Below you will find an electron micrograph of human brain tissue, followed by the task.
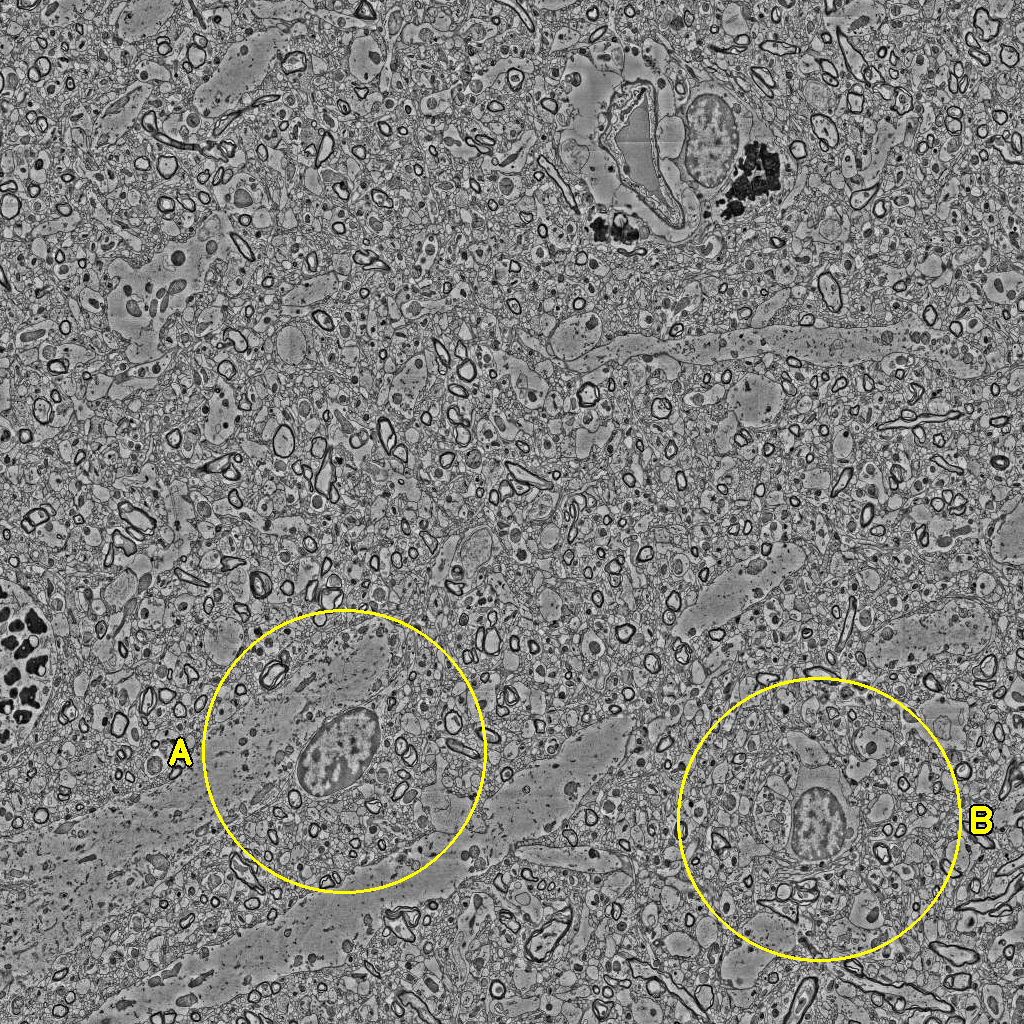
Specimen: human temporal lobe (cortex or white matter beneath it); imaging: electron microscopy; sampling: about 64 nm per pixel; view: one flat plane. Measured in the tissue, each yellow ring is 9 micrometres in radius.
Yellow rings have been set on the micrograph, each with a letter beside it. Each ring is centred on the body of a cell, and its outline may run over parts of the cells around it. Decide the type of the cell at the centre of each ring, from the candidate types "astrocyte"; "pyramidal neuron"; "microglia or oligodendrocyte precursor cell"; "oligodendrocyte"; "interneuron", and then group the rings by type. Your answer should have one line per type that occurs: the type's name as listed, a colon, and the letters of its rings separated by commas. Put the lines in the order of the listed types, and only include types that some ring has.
microglia or oligodendrocyte precursor cell: A
oligodendrocyte: B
